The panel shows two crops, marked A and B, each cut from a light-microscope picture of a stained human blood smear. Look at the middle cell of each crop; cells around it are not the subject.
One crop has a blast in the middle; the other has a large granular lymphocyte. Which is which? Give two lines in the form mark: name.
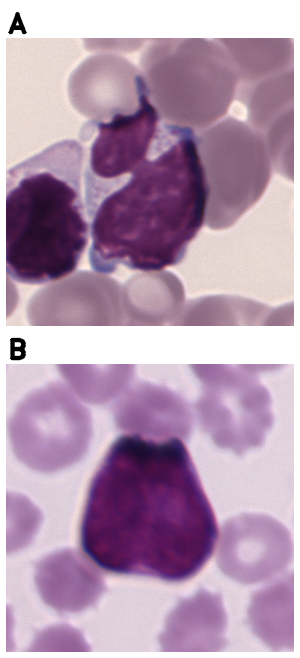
A: large granular lymphocyte
B: blast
